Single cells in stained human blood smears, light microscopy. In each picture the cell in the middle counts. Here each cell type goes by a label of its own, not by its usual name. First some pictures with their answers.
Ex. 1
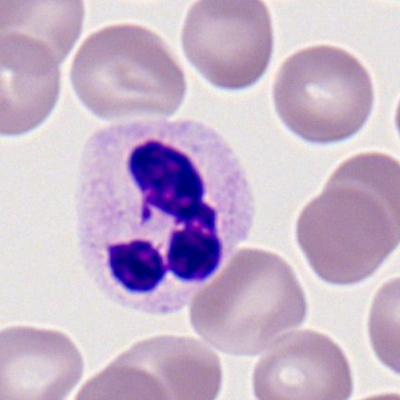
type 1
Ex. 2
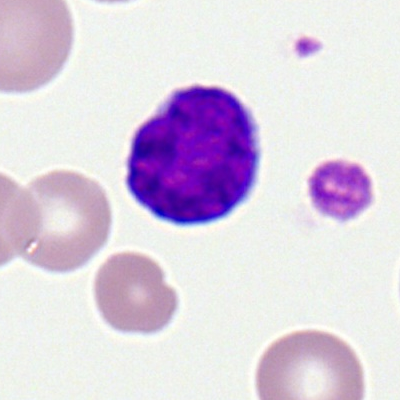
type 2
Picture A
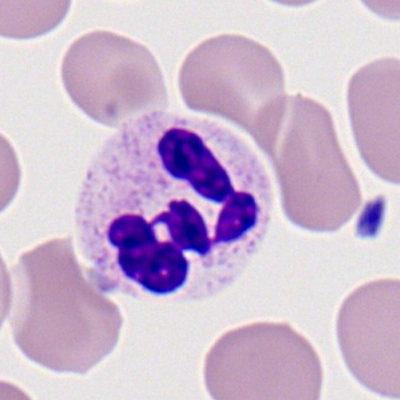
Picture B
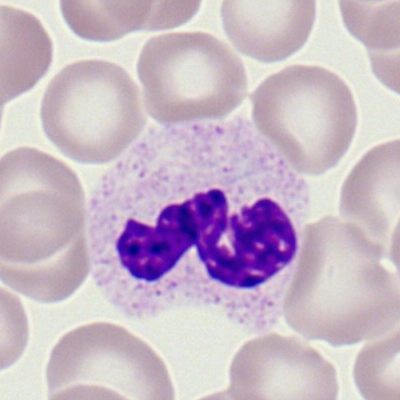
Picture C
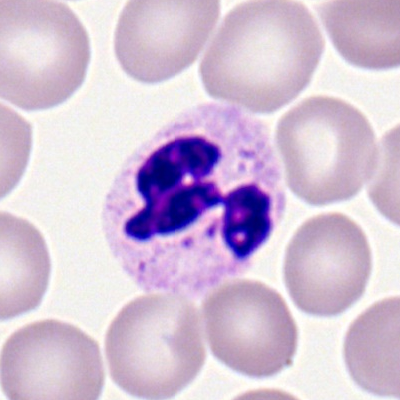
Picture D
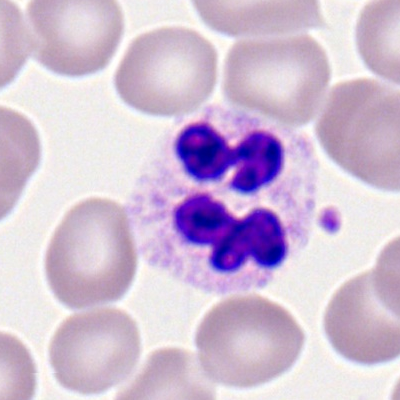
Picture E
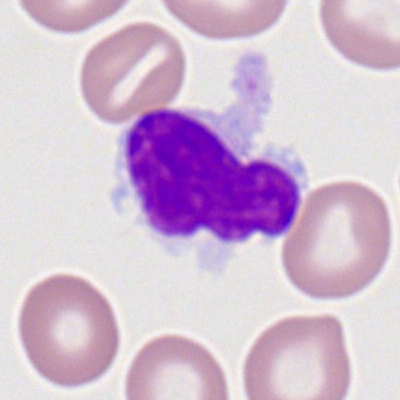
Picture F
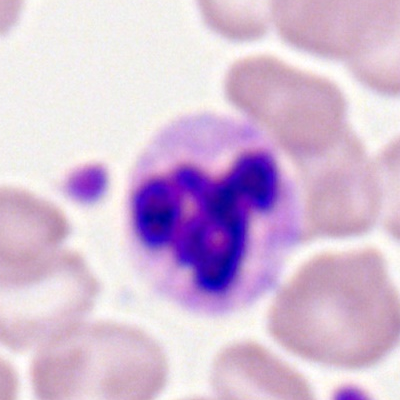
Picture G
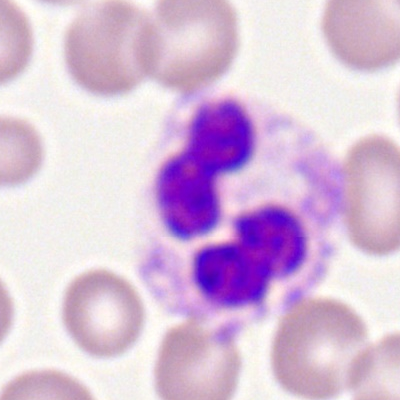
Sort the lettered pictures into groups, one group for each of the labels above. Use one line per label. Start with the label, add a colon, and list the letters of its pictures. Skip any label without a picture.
type 1: A, B, C, D, F, G
type 2: E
